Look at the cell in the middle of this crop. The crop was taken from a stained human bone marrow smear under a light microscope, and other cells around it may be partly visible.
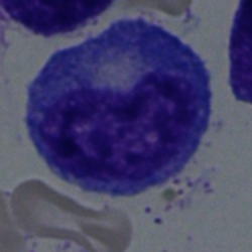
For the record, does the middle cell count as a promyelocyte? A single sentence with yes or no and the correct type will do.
Yes, the cell that lies centrally is a promyelocyte.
